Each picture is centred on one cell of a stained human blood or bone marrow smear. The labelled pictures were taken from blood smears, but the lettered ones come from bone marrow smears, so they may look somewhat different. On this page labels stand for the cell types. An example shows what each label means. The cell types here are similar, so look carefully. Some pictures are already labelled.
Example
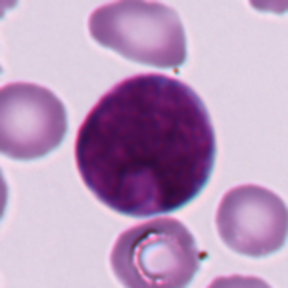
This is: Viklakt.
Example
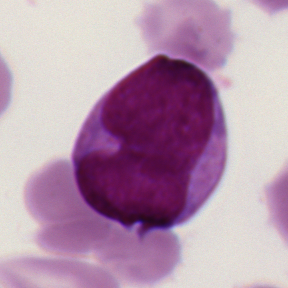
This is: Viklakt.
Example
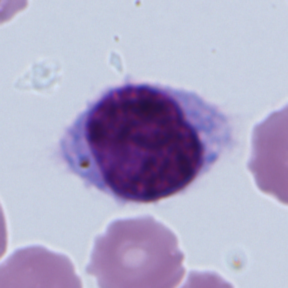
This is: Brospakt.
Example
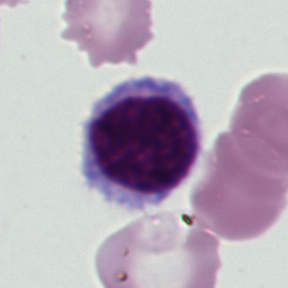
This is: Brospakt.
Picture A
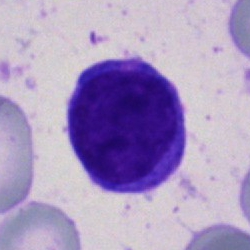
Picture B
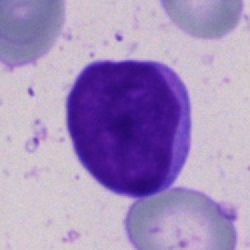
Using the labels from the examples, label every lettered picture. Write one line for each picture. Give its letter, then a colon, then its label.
A: Viklakt.
B: Viklakt.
